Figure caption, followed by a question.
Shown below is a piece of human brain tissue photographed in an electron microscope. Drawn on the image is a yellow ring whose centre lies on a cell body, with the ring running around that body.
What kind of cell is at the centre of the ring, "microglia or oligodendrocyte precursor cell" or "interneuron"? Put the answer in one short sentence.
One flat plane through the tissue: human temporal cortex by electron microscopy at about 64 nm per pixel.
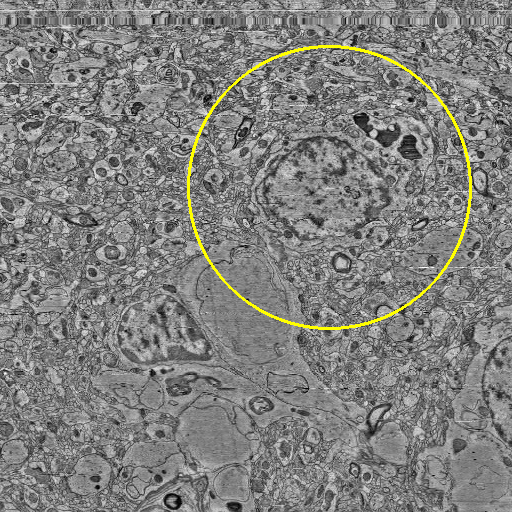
The ring marks the cell body of an interneuron.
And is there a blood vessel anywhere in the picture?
Yes, a blood vessel shows in the picture.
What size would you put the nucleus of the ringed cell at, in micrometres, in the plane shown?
In this plane the nucleus spans approximately 8 by 7 micrometers.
